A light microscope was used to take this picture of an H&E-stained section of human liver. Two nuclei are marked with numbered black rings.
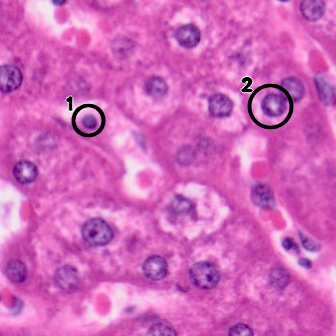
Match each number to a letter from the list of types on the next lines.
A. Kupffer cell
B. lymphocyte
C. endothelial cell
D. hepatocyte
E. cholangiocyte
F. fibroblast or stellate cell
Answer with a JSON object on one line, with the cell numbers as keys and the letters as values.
{"1": "B", "2": "D"}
